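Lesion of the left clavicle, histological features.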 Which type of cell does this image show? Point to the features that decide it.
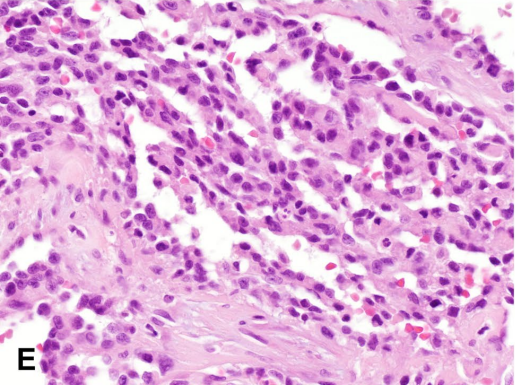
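Cells lining slit-like spaces have rounded nuclei that bulge into the lumen. The lining cells are plump rather than flat. Red blood cells lie within the spaces.
Answer: plump “hobnail” endothelial cells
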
